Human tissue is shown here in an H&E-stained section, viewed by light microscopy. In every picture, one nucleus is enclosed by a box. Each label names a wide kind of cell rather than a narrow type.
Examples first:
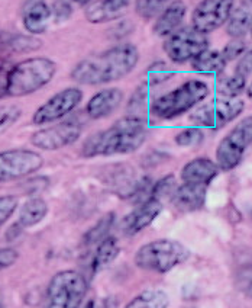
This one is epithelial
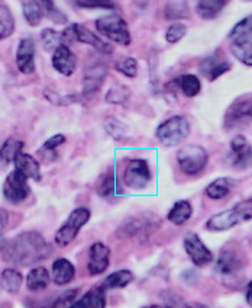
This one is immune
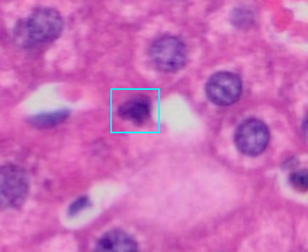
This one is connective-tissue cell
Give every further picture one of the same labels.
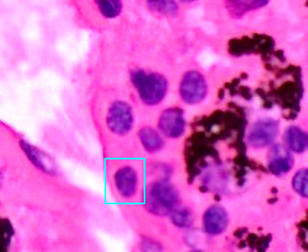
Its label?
immune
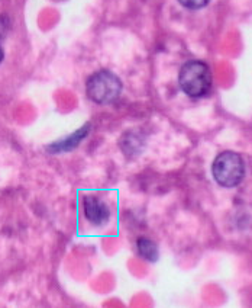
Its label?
connective-tissue cell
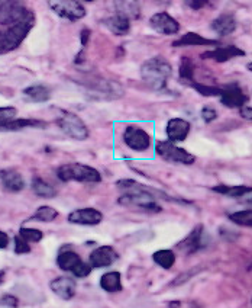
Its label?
immune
